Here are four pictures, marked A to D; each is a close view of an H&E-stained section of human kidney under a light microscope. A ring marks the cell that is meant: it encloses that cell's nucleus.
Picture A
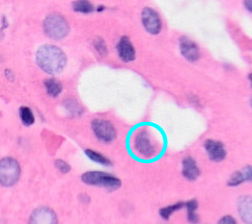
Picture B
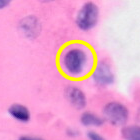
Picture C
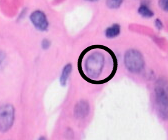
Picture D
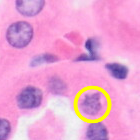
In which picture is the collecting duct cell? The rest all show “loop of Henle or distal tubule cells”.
C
